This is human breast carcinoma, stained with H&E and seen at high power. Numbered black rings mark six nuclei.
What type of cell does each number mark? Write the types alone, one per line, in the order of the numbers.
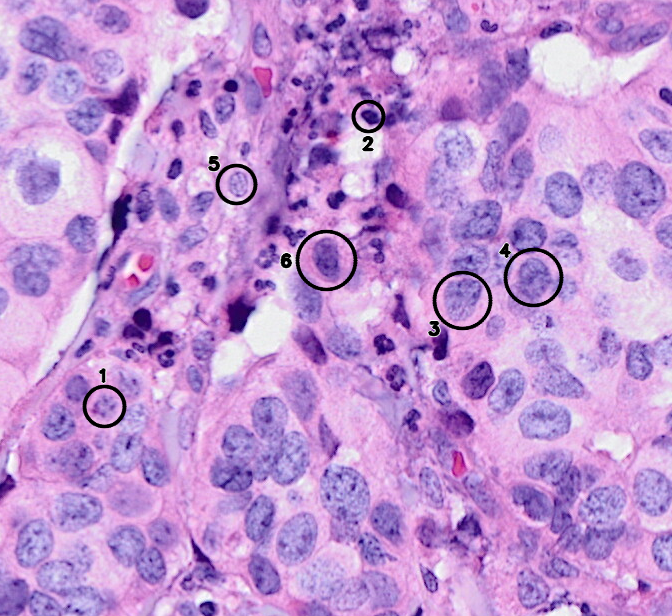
carcinoma cell
lymphocyte
carcinoma cell
carcinoma cell
macrophage, monocyte or dendritic cell
carcinoma cell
